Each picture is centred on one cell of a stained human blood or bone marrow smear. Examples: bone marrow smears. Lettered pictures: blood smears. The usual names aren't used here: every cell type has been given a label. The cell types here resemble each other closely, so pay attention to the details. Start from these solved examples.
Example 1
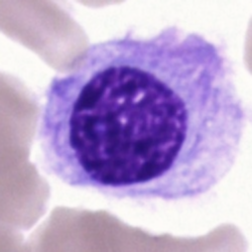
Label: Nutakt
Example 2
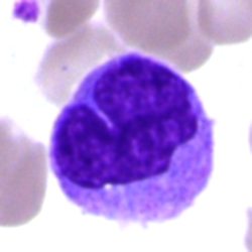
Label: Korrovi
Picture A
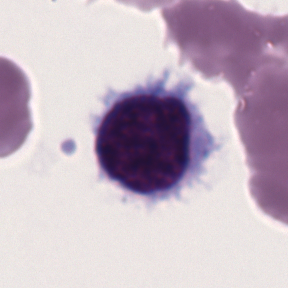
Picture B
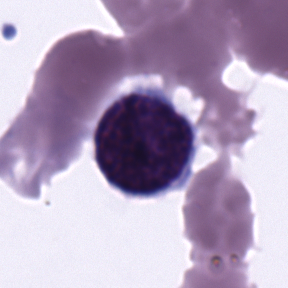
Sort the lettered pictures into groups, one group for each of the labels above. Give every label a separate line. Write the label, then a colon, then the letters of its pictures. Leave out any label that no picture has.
Nutakt: A, B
